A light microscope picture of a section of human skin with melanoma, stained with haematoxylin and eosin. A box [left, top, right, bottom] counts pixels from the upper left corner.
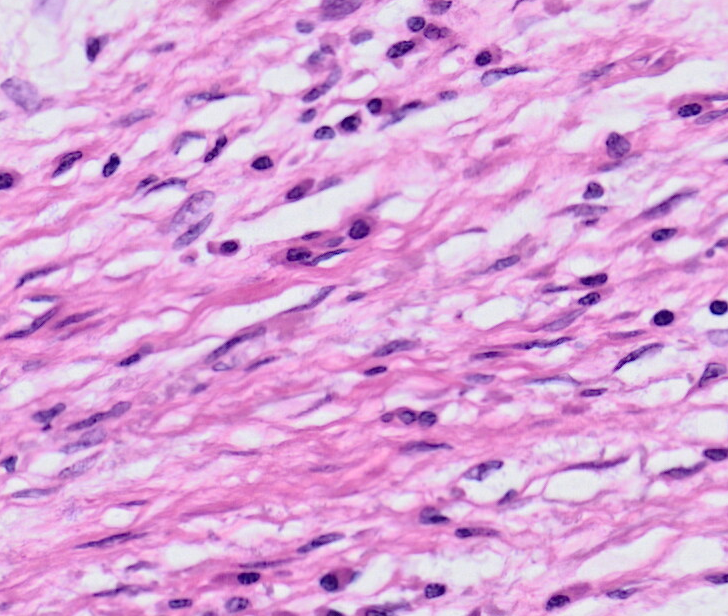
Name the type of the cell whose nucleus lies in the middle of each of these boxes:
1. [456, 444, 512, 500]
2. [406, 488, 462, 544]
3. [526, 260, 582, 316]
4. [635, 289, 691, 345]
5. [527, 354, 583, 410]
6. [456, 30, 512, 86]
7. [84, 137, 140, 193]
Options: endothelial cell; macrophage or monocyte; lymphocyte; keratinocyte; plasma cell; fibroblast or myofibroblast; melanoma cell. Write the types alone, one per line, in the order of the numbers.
fibroblast or myofibroblast
macrophage or monocyte
fibroblast or myofibroblast
plasma cell
fibroblast or myofibroblast
plasma cell
lymphocyte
